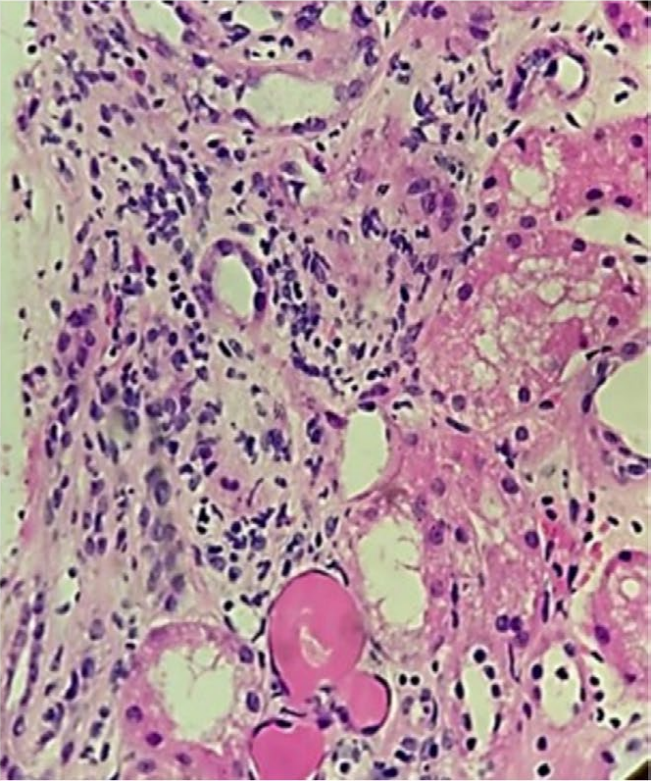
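This is the kidney interstitium crowded with inflammatory cells lying between the tubules. Most are small cells with round, dark purple nuclei and little cytoplasm, spread densely through the pink connective tissue on the left and among the tubules in the middle. Tubules appear as rings of pink epithelial cells around pale or empty lumina; some look small and separated by the infiltrate. Toward the bottom, a few tubule lumina are filled with smooth, bright pink, glassy material. On the right the tubular cells have pale, frothy pink cytoplasm.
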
